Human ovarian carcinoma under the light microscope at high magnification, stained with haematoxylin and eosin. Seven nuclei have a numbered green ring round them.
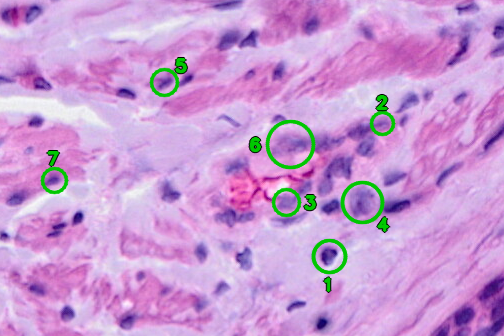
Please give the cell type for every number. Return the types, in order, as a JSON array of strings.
["lymphocyte", "endothelial cell", "endothelial cell", "fibroblast", "smooth muscle cell", "endothelial cell", "smooth muscle cell"]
